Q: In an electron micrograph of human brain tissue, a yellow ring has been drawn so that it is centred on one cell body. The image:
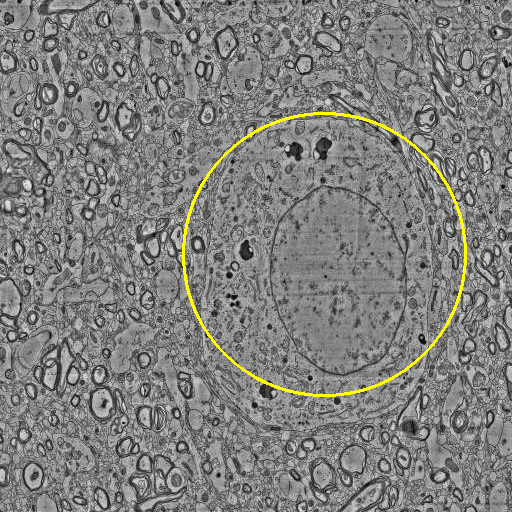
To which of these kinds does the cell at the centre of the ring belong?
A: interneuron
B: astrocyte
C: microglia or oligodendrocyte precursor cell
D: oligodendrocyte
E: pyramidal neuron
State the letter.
E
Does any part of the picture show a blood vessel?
No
